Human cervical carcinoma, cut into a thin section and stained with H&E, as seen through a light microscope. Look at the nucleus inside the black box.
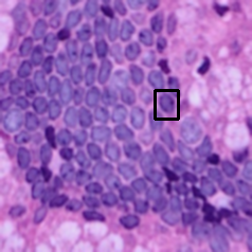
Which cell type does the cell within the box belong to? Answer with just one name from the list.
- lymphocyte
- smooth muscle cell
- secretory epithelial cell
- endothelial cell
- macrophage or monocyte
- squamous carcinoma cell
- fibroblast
secretory epithelial cell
